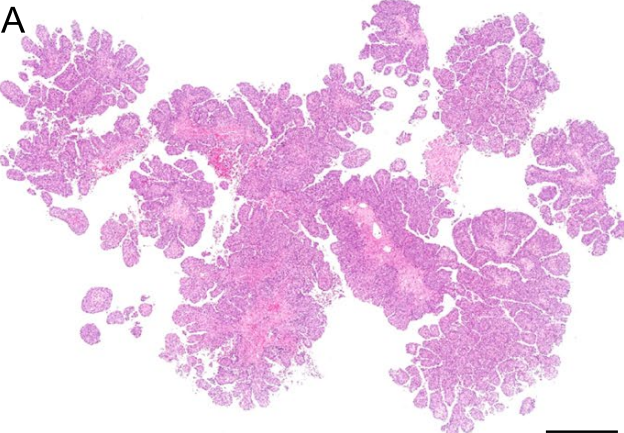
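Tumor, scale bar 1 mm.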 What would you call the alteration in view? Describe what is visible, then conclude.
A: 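Many branching frond-like projections radiate outward. Each frond is covered by a thick, many-cell-deep epithelial layer around a pale stromal core. That points to this answer: exophytic, papillary growth of multilayered epithelium.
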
